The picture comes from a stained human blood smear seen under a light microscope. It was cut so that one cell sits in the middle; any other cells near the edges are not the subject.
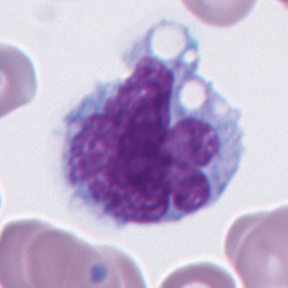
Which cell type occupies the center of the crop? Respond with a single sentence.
The cell marked by its central position in the crop is a monocyte.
